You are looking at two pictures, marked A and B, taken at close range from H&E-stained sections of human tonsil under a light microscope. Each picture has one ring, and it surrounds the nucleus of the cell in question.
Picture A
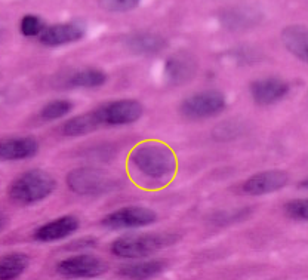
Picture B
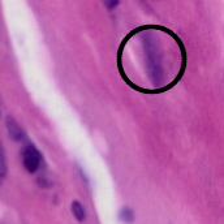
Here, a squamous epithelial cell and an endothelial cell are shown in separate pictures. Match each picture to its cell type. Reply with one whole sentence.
The cell in picture A is a squamous epithelial cell, and the one in picture B is an endothelial cell.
